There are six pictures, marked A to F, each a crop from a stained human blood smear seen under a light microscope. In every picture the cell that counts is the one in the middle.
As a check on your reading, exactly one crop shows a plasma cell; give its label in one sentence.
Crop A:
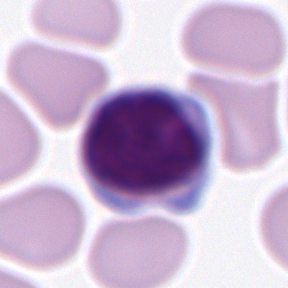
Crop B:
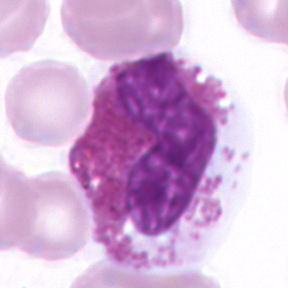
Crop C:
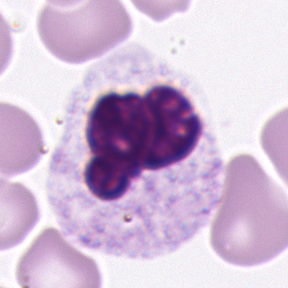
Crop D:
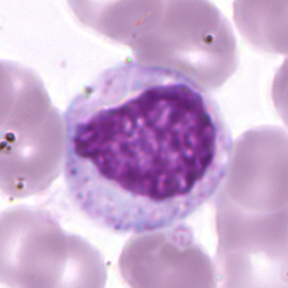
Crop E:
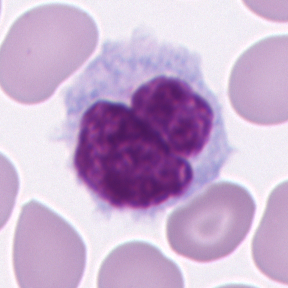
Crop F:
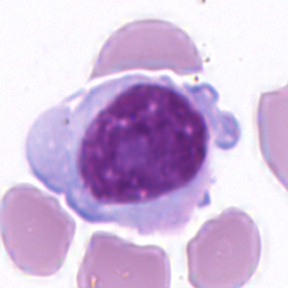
Crop F is the one that shows a plasma cell.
